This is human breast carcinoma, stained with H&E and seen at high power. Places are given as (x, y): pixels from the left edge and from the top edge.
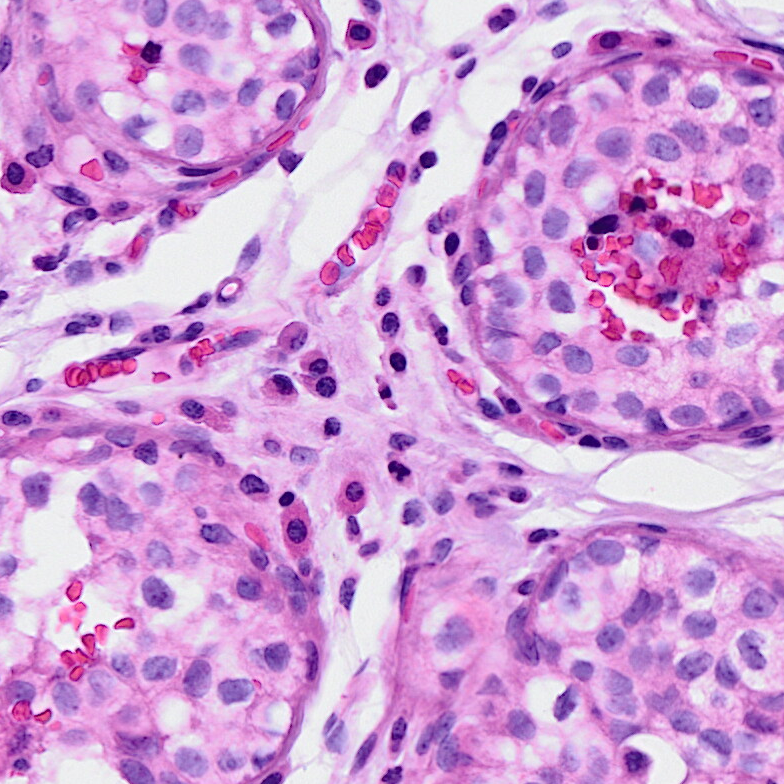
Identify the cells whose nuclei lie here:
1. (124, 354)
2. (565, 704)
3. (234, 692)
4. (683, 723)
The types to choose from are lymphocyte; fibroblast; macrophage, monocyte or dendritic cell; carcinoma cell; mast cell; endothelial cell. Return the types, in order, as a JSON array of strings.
["endothelial cell", "carcinoma cell", "carcinoma cell", "carcinoma cell"]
